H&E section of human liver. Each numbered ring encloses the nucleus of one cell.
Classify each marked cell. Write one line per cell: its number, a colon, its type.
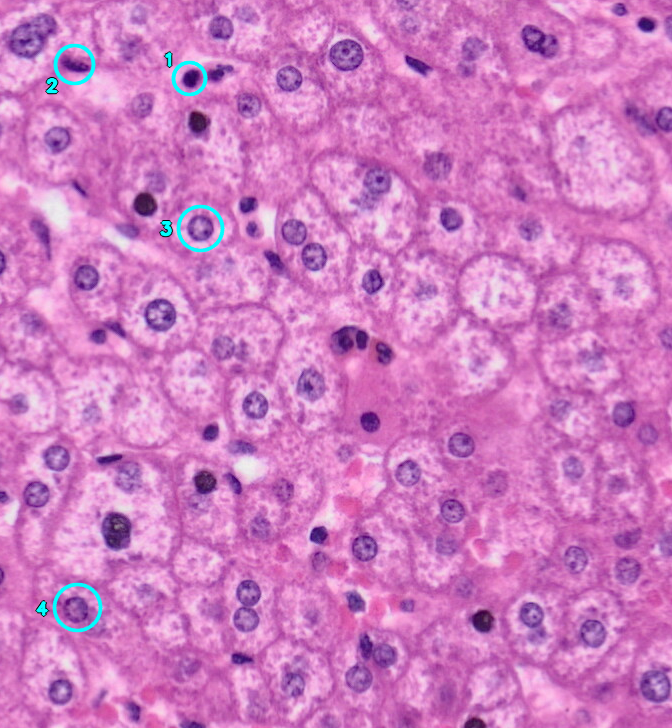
1: lymphocyte
2: fibroblast or stellate cell
3: hepatocyte
4: hepatocyte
